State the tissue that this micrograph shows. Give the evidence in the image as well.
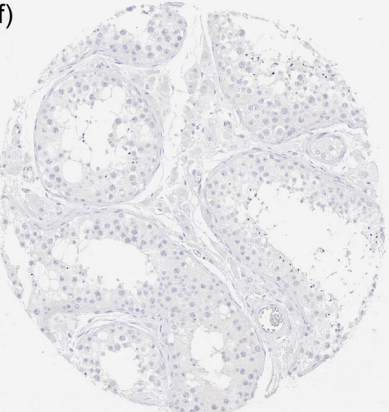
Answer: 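Round tubules lined by stratified layers of germ cells. Tubules separated by loose interstitial tissue. No brown stain anywhere.
Answer: testis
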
